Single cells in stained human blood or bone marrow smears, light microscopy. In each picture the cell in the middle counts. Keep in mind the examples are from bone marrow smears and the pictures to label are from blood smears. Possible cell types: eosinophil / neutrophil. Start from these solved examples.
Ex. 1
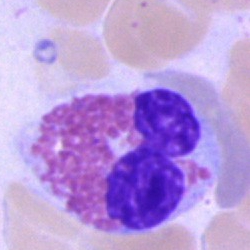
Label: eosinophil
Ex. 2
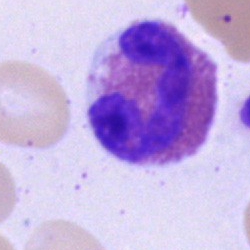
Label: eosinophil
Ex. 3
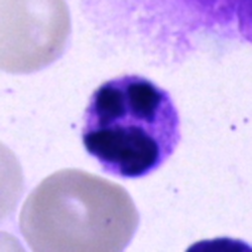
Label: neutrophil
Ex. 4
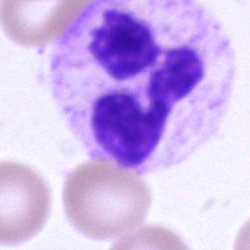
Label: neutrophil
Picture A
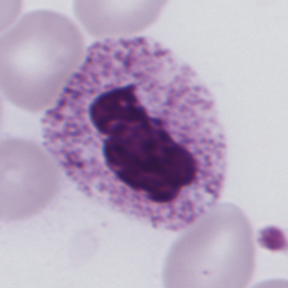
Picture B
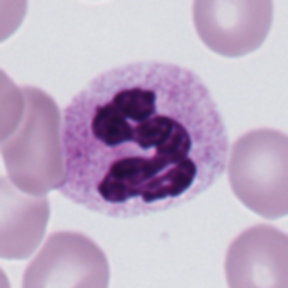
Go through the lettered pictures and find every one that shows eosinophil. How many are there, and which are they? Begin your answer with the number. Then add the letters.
0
